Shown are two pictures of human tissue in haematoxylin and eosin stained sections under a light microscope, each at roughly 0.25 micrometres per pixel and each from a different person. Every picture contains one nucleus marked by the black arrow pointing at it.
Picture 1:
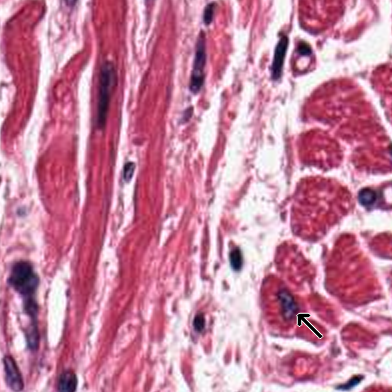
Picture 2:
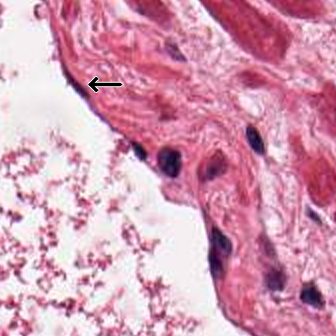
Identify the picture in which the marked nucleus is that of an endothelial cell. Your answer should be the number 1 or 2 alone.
2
